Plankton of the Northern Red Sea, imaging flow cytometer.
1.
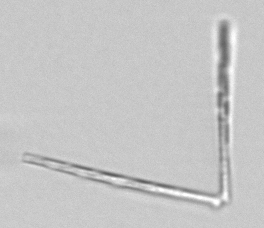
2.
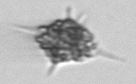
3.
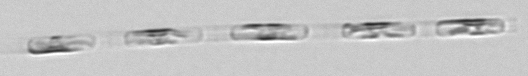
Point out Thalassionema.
That is picture 1.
